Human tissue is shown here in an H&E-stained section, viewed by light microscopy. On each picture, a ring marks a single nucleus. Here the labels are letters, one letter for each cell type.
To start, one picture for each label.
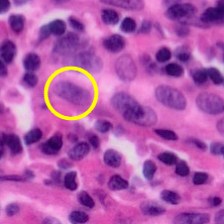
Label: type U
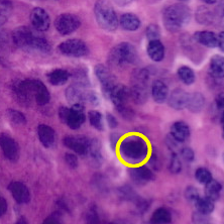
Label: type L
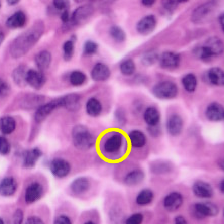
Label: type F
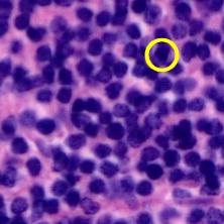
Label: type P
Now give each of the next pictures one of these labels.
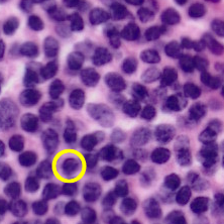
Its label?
type P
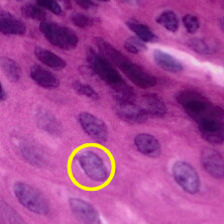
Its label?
type L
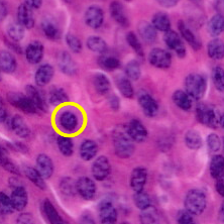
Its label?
type F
